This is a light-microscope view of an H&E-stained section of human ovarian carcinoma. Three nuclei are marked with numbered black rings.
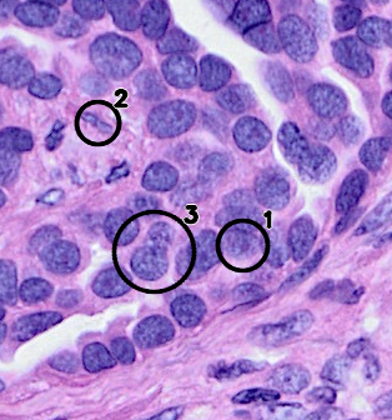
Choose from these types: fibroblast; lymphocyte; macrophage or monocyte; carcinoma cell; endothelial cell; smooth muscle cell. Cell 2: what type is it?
fibroblast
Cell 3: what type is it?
carcinoma cell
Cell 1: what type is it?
carcinoma cell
